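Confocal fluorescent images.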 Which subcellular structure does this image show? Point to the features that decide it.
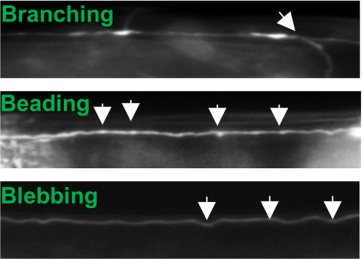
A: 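Thin bright fluorescent processes run lengthwise across each strip. The processes are long and narrow, with no cell body filling the strip. The answer: neurite.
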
